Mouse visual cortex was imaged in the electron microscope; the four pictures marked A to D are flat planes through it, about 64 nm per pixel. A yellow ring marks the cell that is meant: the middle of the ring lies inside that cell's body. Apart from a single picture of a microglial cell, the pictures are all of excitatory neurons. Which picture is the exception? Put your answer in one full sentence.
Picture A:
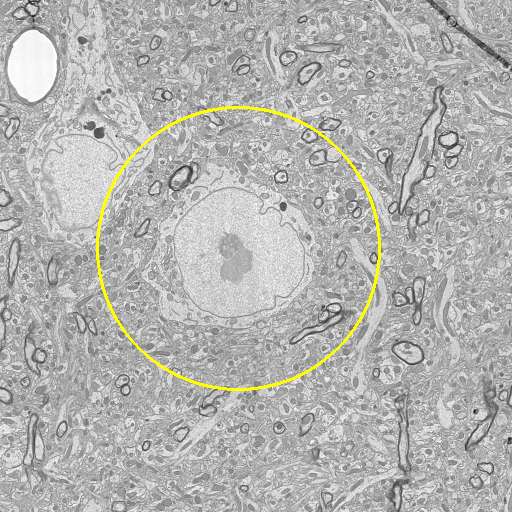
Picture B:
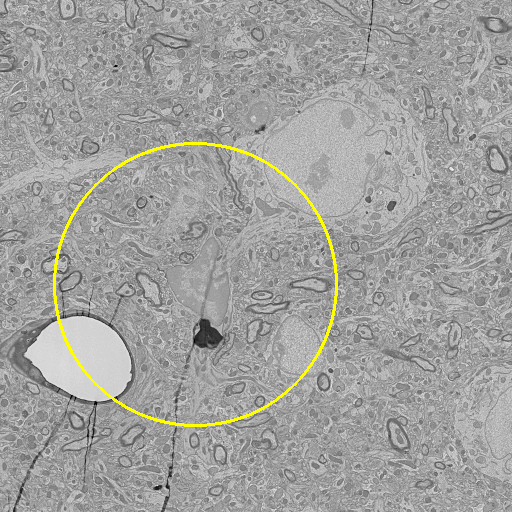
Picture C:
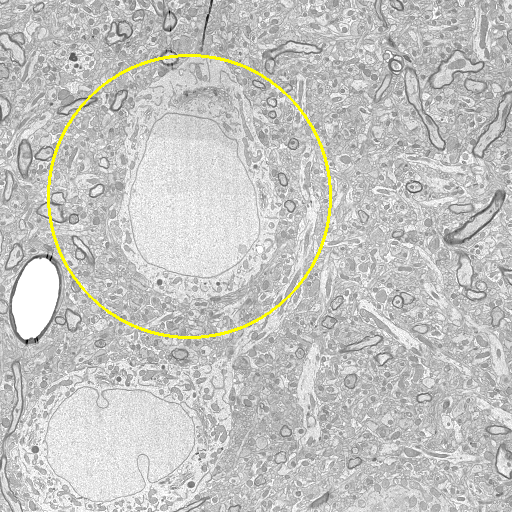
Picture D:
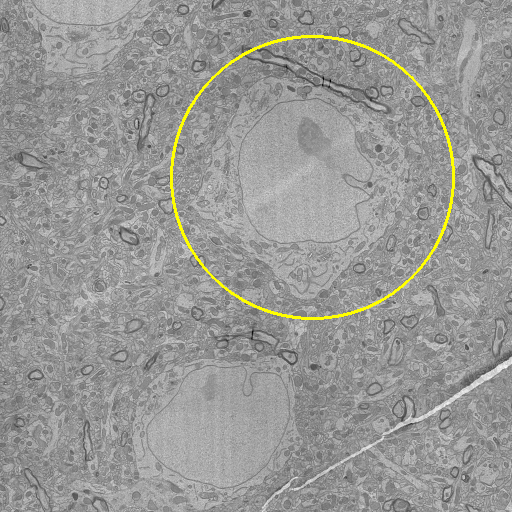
Picture B is the one that shows the microglial cell.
